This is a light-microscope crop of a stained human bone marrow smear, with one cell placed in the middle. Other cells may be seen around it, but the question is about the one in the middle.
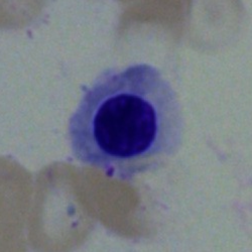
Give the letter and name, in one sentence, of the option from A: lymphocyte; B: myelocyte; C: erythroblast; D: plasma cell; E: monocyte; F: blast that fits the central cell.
Option C is right in identifying the central cell as an erythroblast.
